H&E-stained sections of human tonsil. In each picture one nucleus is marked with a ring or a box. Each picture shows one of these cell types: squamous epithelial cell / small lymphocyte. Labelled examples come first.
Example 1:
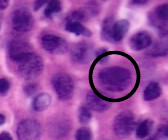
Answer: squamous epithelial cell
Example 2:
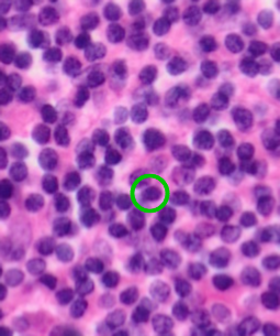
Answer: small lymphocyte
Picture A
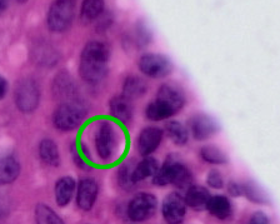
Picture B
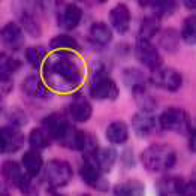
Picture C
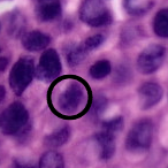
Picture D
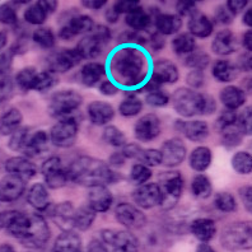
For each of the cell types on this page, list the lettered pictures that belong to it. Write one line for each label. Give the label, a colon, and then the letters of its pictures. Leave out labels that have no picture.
squamous epithelial cell: A, C
small lymphocyte: B, D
